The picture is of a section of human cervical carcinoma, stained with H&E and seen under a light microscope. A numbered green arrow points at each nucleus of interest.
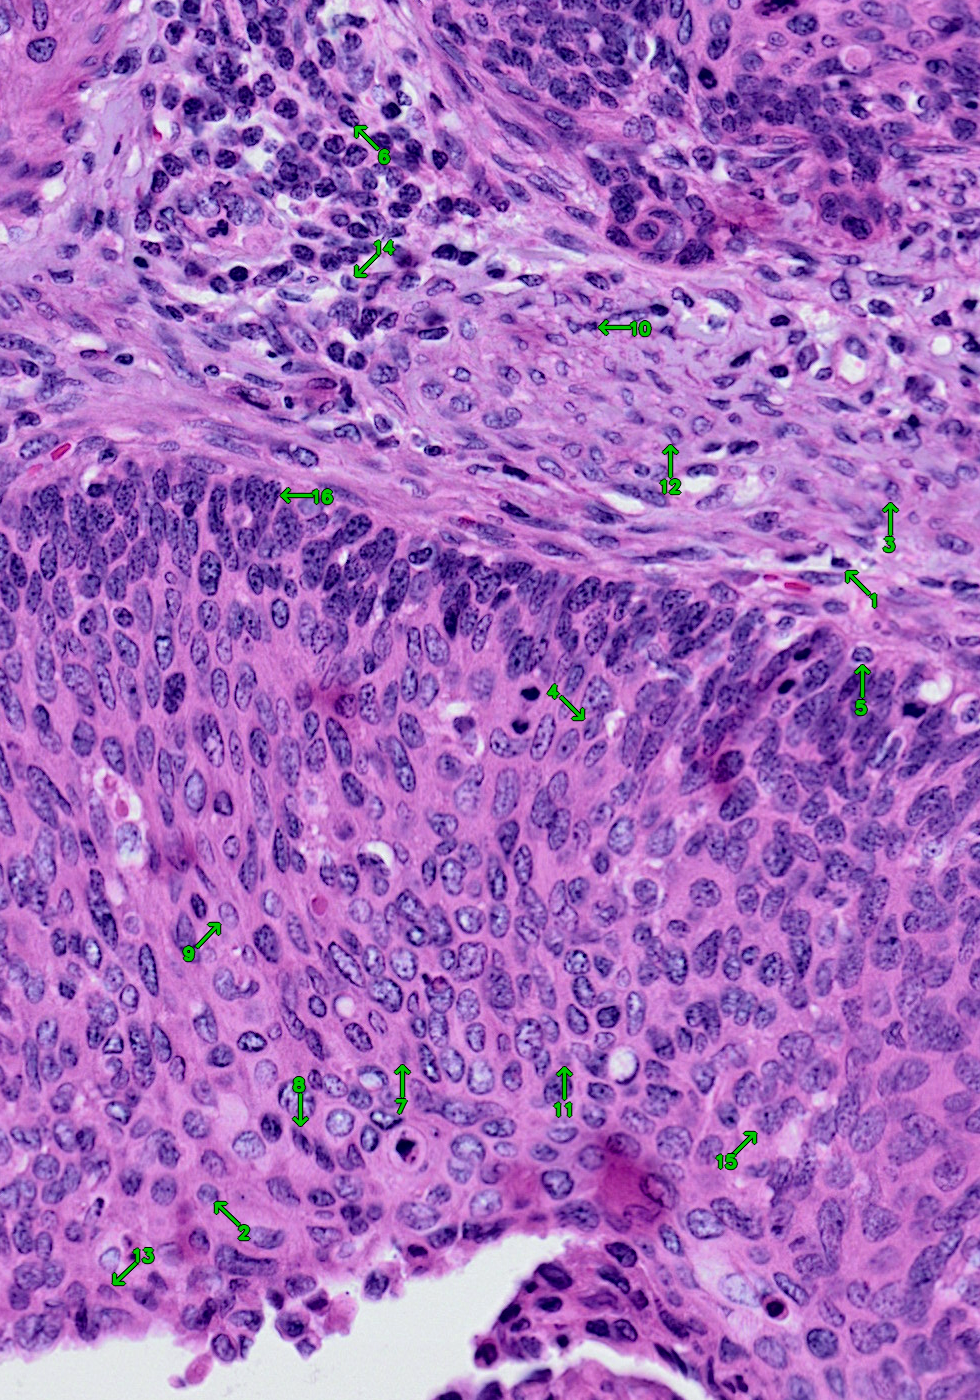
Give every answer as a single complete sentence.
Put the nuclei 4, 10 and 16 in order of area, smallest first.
Smallest first, the nuclei run 10, 4, 16.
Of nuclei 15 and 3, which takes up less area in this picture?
Number 3 is smaller, since number 15 takes up about 2 times as much area.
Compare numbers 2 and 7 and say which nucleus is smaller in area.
The smaller nucleus is 7, and 2 covers roughly 2.5 times its area.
